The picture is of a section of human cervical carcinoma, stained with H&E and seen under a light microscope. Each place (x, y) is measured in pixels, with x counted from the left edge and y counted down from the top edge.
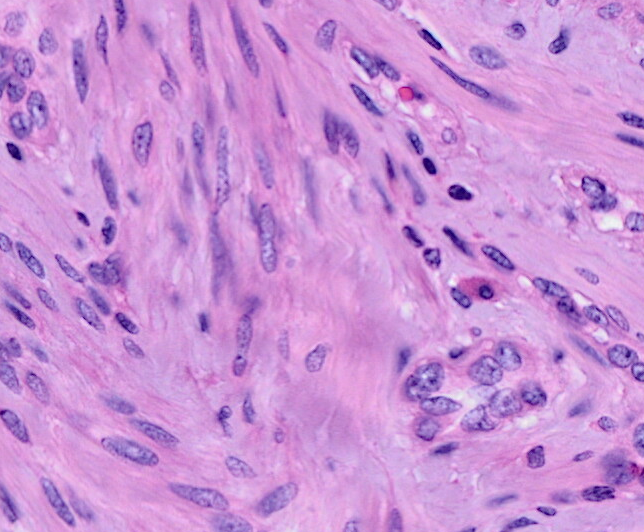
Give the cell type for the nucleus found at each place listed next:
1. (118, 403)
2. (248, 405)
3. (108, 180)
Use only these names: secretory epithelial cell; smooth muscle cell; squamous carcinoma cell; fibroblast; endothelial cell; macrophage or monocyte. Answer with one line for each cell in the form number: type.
1: smooth muscle cell
2: smooth muscle cell
3: fibroblast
